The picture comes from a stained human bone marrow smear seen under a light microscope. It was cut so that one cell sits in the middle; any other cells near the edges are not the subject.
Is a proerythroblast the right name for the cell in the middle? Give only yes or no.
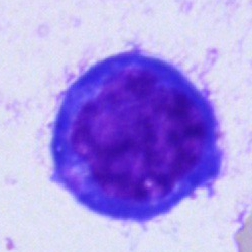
yes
